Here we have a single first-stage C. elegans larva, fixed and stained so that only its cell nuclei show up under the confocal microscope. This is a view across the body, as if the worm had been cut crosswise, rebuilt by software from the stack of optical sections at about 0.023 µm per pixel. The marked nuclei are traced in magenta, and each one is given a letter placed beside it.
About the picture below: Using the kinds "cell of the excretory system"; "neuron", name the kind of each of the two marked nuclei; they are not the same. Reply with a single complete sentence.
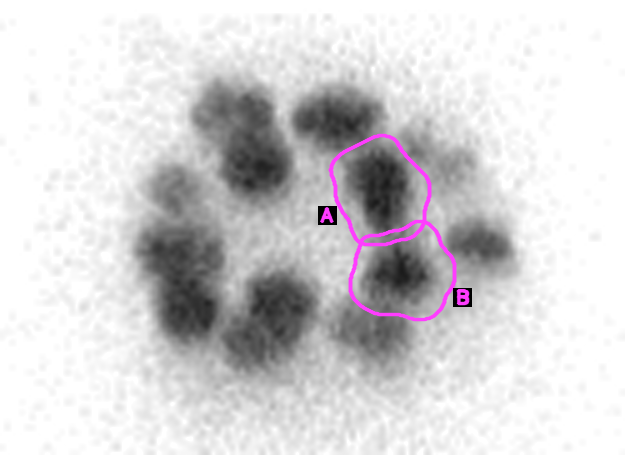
The nucleus A is that of a cell of the excretory system, while B is that of a neuron.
